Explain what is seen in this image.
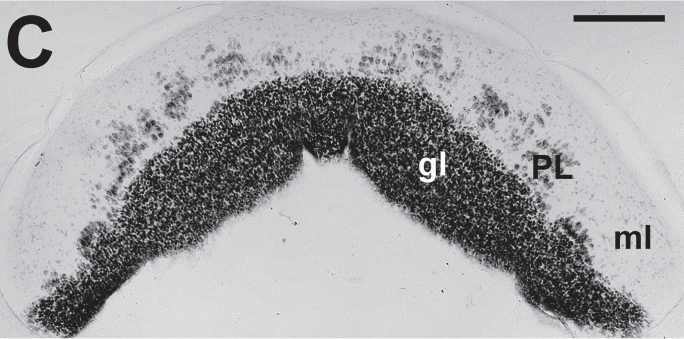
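This coronal section through the cerebellum shows its three layers. A thick, dark, arch-shaped granule layer of densely packed small cells forms the core. Above it lies a band of larger Purkinje cells. These are not spread as a single continuous row but gathered into several dark clusters, arranged symmetrically on either side of the midline notch. Outermost is a wide, pale molecular layer with few cell bodies. The arch tapers at both sides, and the clusters thin out toward the lateral edges.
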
